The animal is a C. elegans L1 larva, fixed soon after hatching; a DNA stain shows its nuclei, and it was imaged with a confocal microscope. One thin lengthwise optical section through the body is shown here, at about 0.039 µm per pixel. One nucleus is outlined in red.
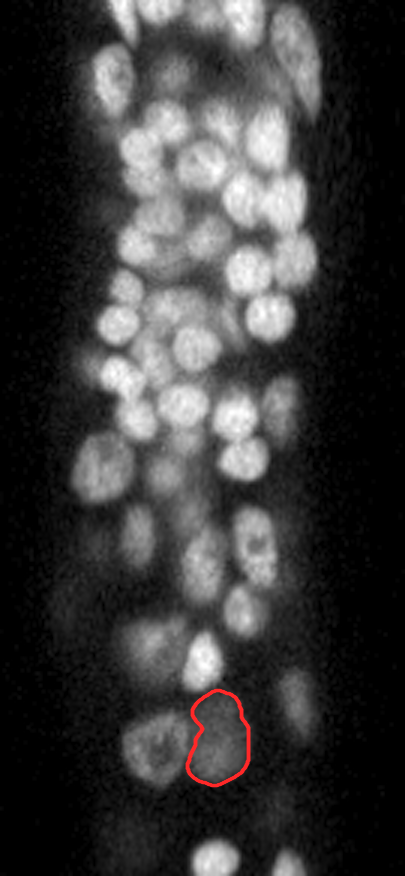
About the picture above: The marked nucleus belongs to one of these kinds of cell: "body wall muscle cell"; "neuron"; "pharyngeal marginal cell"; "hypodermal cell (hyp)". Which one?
hypodermal cell (hyp)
